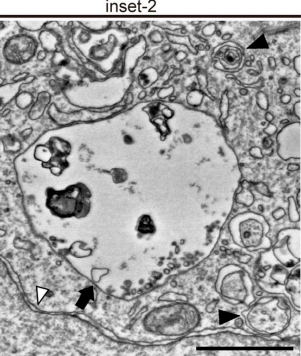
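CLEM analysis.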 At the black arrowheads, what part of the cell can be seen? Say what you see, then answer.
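Small round vesicles bounded by a double membrane. Dark contents enclosed within the vesicles.
Hence: autophagosome.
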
